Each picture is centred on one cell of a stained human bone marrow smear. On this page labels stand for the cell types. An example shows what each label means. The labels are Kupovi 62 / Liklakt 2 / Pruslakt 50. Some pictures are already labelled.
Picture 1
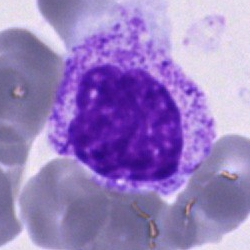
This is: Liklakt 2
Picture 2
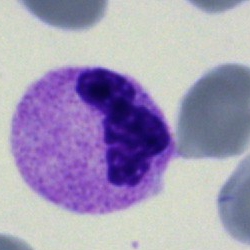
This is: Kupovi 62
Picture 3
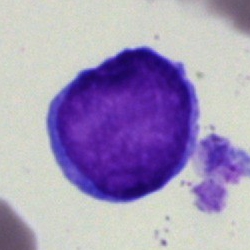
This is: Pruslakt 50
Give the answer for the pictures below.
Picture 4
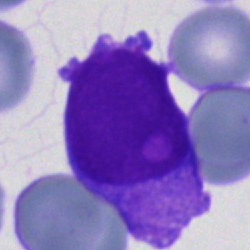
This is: Pruslakt 50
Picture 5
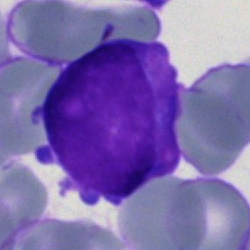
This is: Pruslakt 50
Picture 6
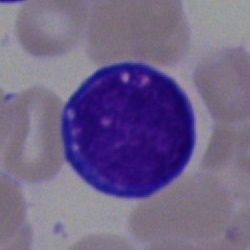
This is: Pruslakt 50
